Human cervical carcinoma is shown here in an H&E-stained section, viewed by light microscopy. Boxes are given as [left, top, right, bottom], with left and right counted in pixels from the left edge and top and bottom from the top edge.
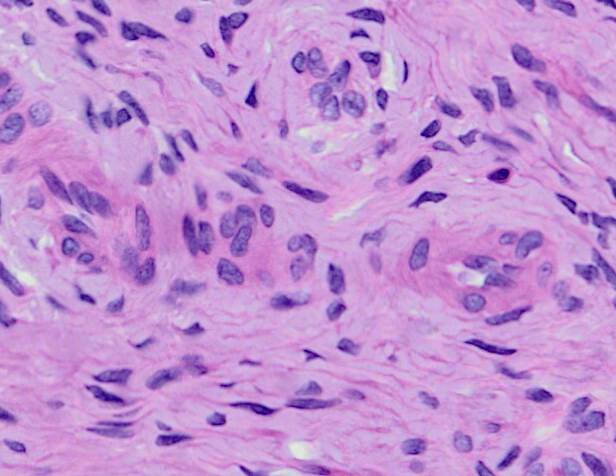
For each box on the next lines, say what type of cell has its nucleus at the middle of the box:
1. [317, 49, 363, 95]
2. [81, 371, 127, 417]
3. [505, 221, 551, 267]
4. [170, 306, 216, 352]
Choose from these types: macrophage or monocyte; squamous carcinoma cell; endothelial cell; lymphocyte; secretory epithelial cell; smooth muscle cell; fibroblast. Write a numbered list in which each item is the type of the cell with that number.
1. endothelial cell
2. fibroblast
3. smooth muscle cell
4. fibroblast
